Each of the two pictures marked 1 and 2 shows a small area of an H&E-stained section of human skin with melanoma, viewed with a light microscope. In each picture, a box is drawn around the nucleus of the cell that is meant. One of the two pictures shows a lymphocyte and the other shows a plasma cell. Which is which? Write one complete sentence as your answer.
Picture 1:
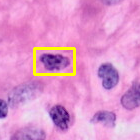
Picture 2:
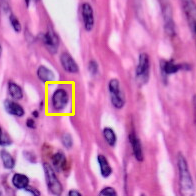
Picture 1 shows a lymphocyte and picture 2 shows a plasma cell.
